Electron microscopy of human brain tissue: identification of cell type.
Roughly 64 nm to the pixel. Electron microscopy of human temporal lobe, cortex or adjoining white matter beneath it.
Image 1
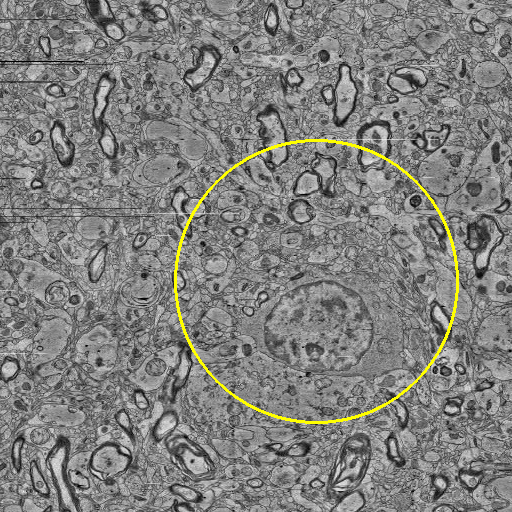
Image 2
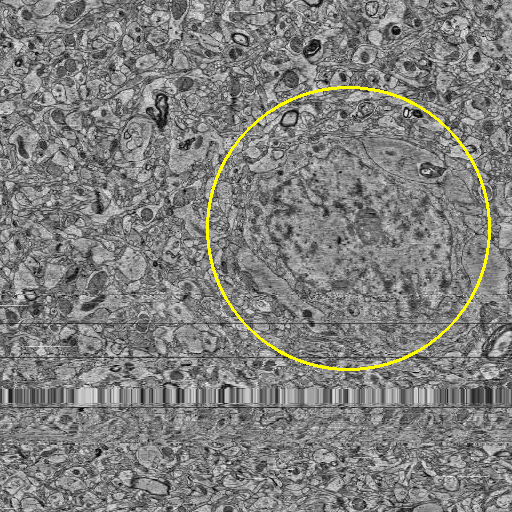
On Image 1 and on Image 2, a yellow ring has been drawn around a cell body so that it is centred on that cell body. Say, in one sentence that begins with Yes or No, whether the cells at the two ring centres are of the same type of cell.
No, the two cells are two separate types of cell.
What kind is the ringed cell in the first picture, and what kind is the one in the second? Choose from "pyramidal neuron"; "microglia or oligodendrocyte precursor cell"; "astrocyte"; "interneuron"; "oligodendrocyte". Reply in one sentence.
The first cell is an oligodendrocyte; the second is an interneuron.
